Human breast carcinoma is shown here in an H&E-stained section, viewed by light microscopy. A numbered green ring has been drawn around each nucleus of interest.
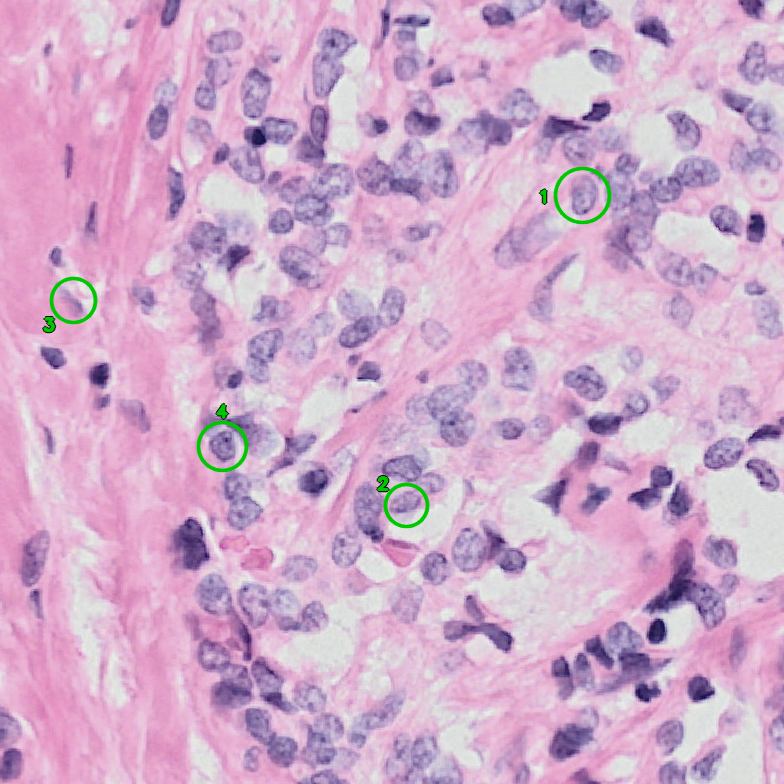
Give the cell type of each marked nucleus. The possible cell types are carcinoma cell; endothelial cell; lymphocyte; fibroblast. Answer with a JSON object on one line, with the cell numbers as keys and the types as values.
{"1": "carcinoma cell", "2": "carcinoma cell", "3": "fibroblast", "4": "carcinoma cell"}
